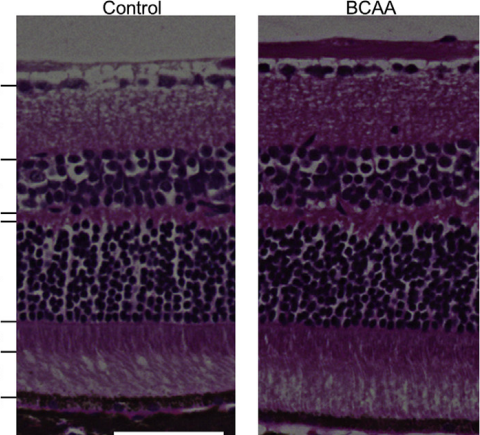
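Two side-by-side sections show a layered tissue: from top, a thin pink fibre layer, a single sparse row of larger nuclei, a broad pink finely meshed band, a layer of several rows of round purple nuclei, a thin pink band, then a thick layer of densely packed small dark nuclei. Below these lie a pink band and a paler vertically striated band, resting on a dark pigmented line. This is the retina, with the ganglion cell layer, inner and outer nuclear layers separated by plexiform layers, the photoreceptor inner and outer segments, and the retinal pigment epithelium.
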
